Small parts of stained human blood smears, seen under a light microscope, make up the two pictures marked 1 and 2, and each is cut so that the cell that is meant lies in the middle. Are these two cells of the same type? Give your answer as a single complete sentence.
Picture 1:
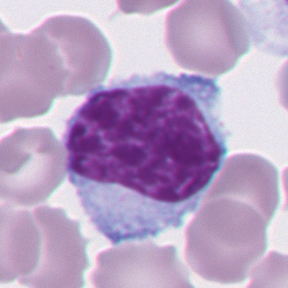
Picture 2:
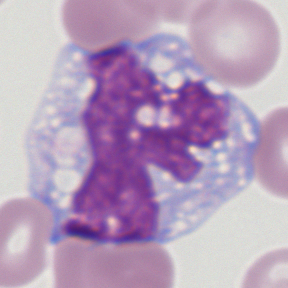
Yes, they are the same type: both are monocytes.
